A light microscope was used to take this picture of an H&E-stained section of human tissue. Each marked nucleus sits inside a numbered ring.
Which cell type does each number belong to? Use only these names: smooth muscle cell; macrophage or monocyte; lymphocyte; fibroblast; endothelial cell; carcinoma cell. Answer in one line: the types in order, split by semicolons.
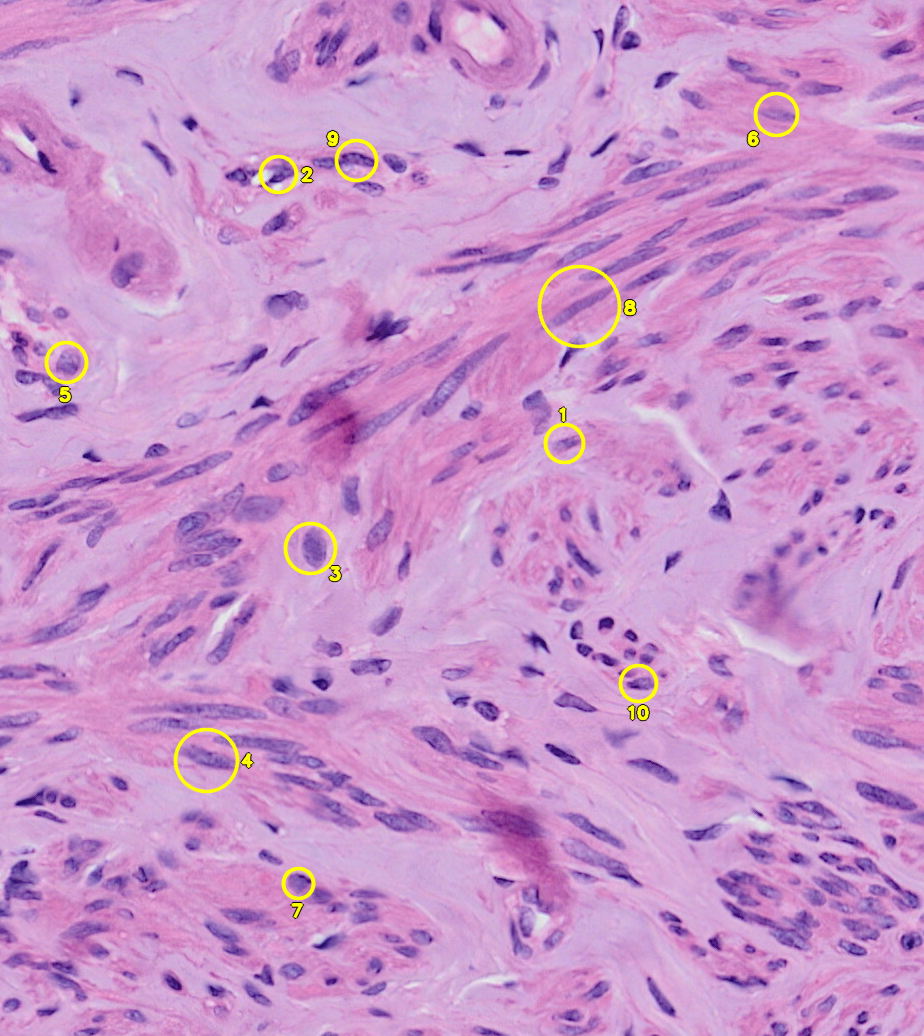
smooth muscle cell; endothelial cell; fibroblast; smooth muscle cell; endothelial cell; smooth muscle cell; smooth muscle cell; smooth muscle cell; endothelial cell; smooth muscle cell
